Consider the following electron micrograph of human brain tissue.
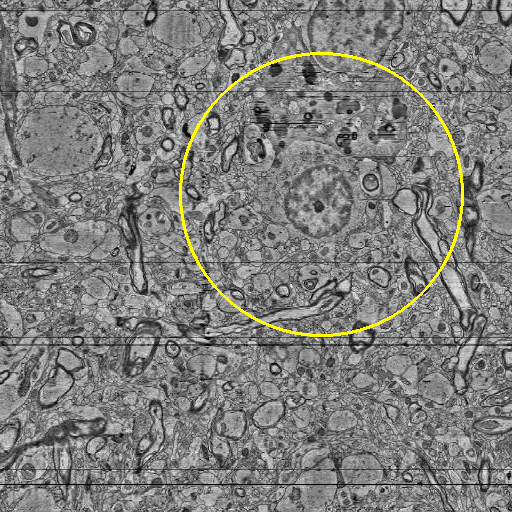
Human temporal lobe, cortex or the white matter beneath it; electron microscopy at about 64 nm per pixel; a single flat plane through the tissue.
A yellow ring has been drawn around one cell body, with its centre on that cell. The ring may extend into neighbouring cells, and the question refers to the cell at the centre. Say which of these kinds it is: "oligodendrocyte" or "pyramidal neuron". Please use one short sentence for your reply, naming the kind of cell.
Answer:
The centre of the ring falls on an oligodendrocyte.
